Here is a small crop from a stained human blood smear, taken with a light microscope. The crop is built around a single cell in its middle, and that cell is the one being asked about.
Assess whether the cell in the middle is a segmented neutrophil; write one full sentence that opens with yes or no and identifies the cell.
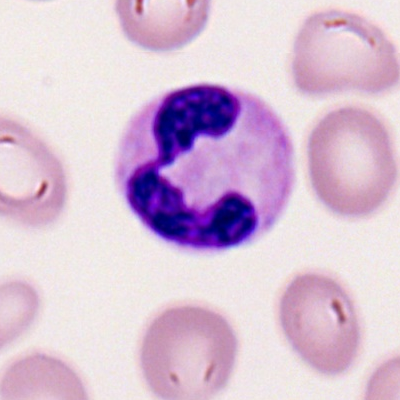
Yes, the cell found in the center of the crop is a segmented neutrophil.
